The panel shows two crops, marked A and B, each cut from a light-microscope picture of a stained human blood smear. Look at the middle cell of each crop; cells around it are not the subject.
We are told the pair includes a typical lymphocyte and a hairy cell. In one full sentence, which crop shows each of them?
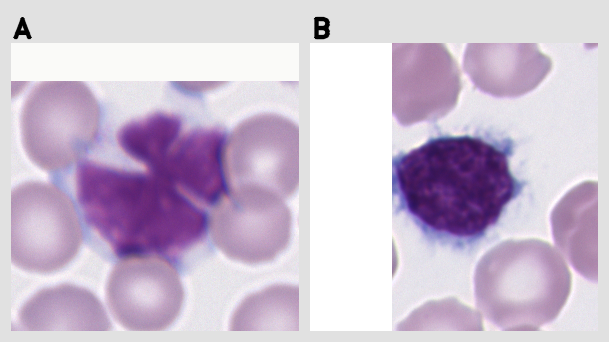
In crop A, a typical lymphocyte is present; in crop B, a hairy cell is present.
